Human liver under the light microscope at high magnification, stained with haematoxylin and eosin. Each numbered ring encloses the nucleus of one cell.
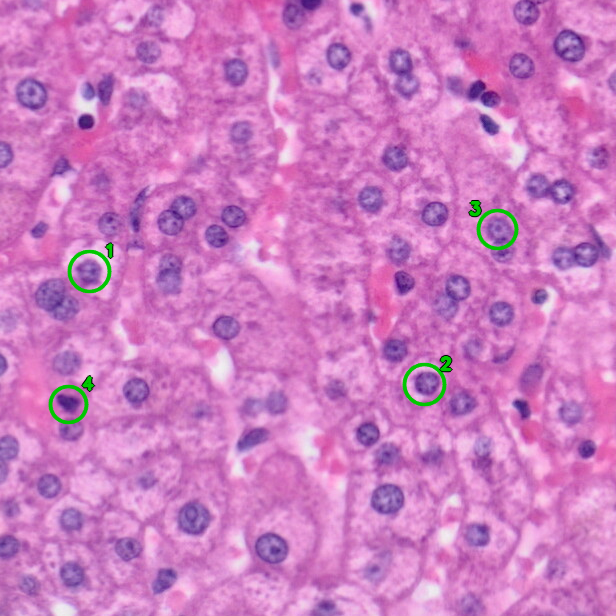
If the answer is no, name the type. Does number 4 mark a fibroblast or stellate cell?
Yes.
